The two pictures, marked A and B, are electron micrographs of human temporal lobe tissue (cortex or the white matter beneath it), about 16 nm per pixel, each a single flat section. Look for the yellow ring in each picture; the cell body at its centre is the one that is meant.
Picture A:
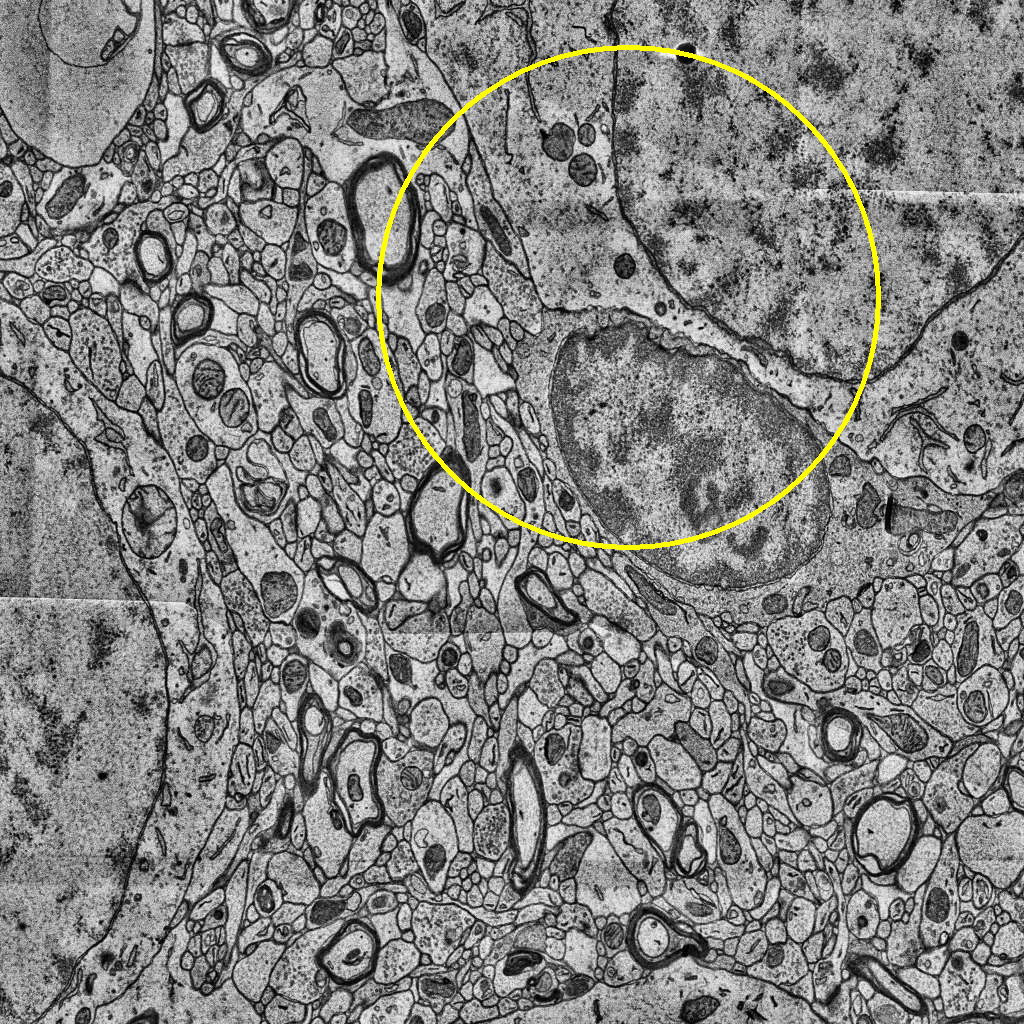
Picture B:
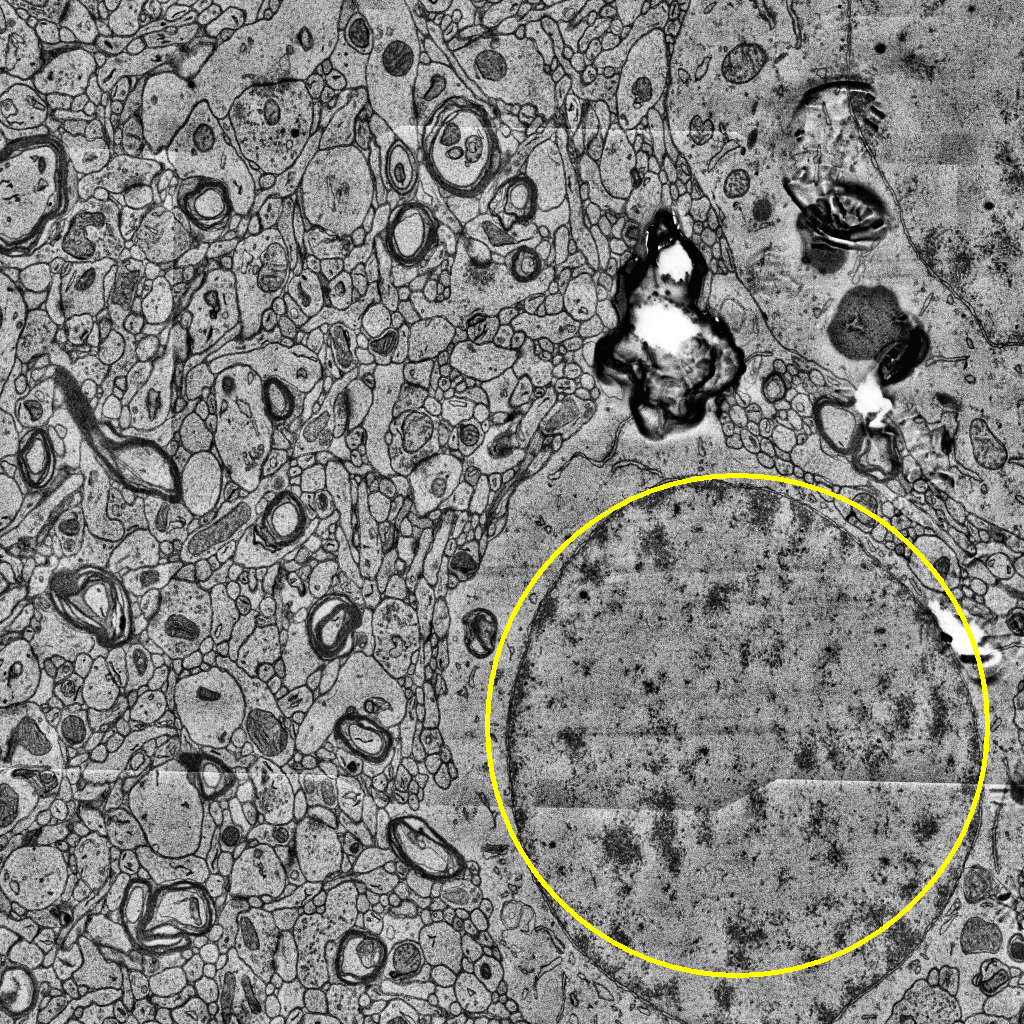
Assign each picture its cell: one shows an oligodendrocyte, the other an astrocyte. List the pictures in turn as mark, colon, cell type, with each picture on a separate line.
A: oligodendrocyte
B: astrocyte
